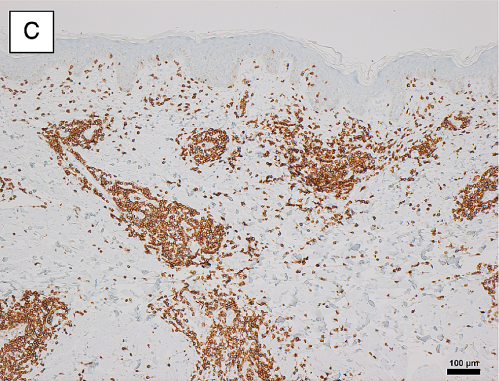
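This section of skin shows dense perivascular infiltrates of small lymphocytes in the superficial dermis. A thin pale epidermis runs along the top, and beneath it the dermis holds several rounded and elongated clusters of tightly packed brown-stained cells cuffing vessels. The cells are small and round with compact nuclei, and many more lie scattered singly among the pale collagen between the clusters.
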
